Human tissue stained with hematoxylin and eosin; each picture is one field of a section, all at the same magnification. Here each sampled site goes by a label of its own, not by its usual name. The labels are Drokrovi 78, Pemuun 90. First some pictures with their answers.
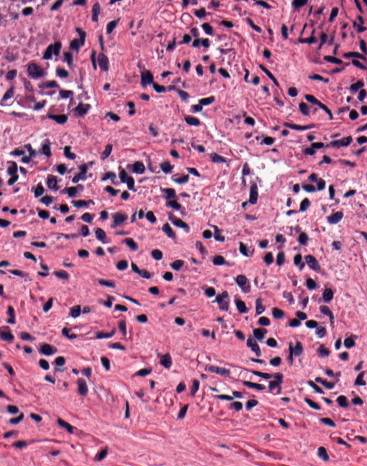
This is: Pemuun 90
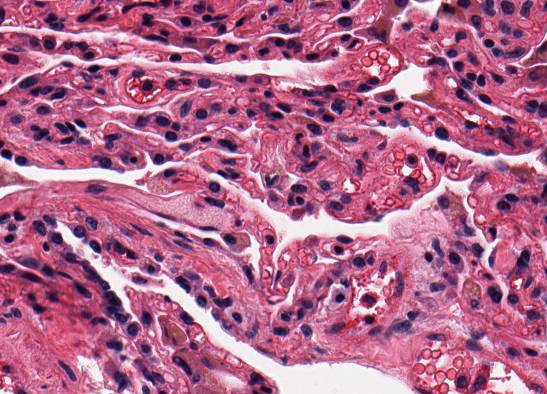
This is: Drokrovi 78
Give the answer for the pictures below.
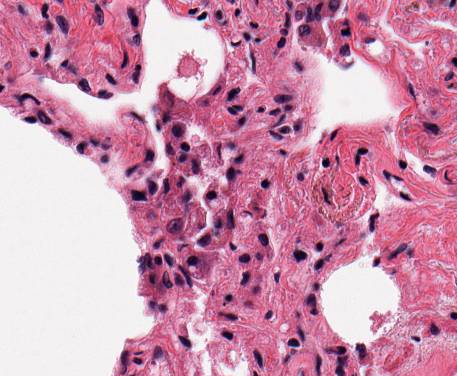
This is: Drokrovi 78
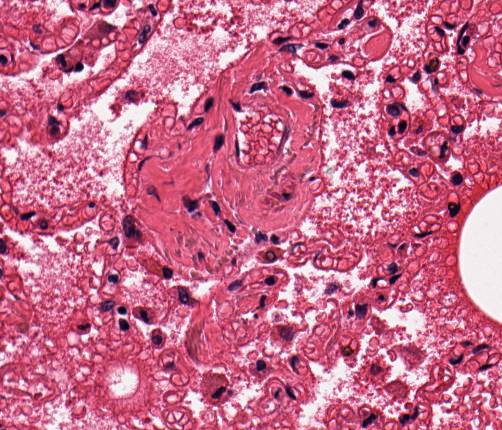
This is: Drokrovi 78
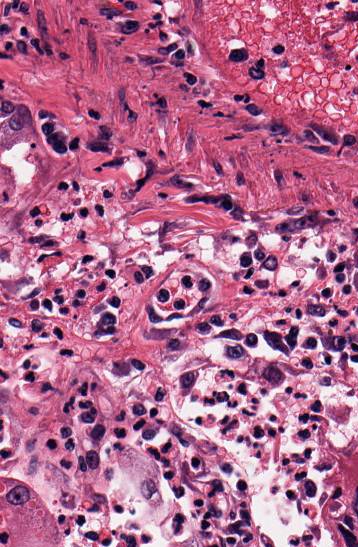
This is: Drokrovi 78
